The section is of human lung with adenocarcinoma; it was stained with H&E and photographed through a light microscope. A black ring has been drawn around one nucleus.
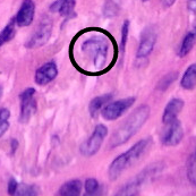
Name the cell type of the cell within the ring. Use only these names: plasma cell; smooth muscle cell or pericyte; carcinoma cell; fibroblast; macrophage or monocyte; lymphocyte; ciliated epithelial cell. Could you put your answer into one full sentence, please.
In this section of tissue, the cell within the ring is a fibroblast.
